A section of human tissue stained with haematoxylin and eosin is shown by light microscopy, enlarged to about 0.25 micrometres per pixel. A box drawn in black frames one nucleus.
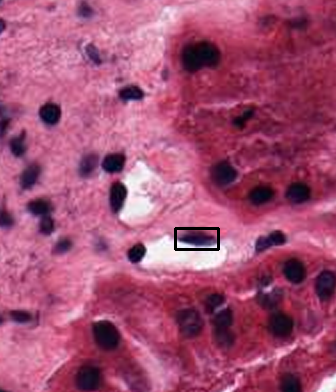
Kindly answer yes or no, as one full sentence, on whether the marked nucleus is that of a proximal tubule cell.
No, the cell whose nucleus is marked is a supporting cell and not a proximal tubule cell.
